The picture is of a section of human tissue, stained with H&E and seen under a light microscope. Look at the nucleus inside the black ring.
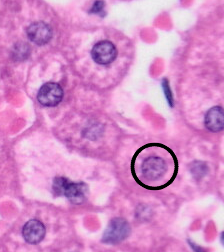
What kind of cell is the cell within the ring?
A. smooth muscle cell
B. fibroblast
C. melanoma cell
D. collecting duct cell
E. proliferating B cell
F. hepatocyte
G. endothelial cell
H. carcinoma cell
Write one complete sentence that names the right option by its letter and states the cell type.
Option F is accurate, for the cell within the ring is a hepatocyte.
